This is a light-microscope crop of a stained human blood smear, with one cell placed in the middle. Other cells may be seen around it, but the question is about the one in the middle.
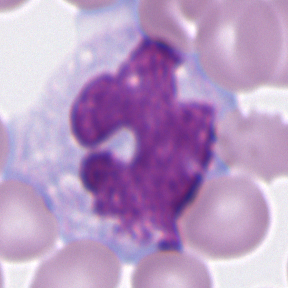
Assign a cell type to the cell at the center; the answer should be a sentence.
The middle of this crop holds a monocyte.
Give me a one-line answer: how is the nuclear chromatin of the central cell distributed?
The chromatin is delicate and fine, lacking coarse clumping entirely.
